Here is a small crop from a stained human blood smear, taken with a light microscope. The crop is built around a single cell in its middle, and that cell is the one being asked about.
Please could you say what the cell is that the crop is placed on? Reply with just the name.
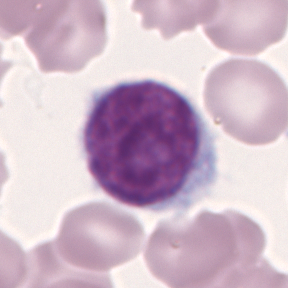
hairy cell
